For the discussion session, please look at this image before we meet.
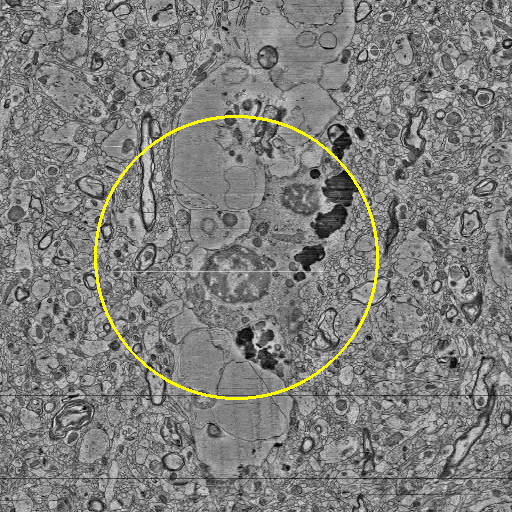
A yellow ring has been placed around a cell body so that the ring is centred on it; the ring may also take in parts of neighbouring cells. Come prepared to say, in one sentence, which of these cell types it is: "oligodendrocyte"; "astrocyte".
The cell centred in the ring is an oligodendrocyte.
